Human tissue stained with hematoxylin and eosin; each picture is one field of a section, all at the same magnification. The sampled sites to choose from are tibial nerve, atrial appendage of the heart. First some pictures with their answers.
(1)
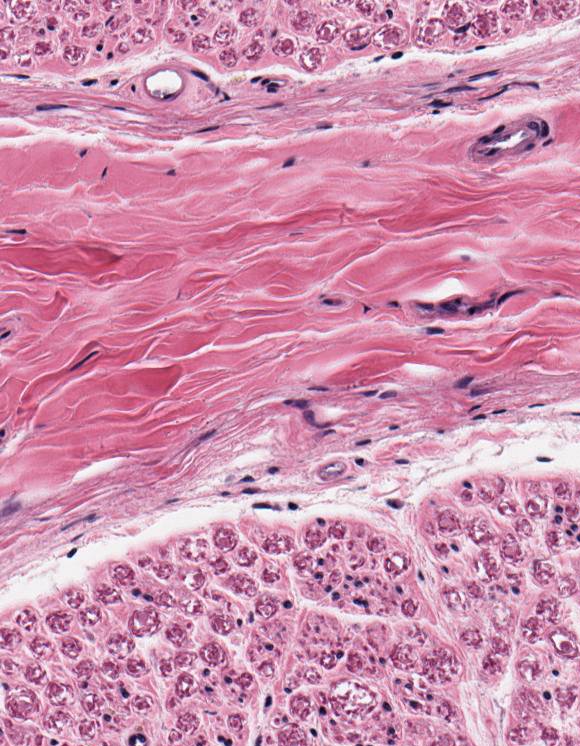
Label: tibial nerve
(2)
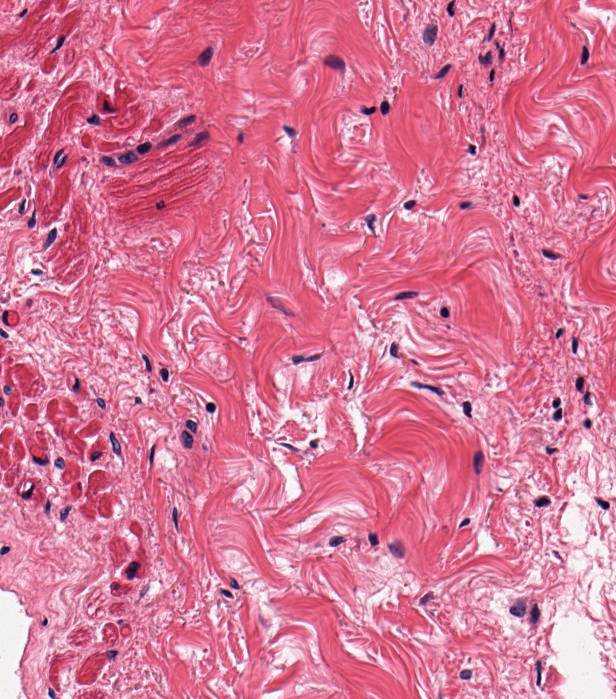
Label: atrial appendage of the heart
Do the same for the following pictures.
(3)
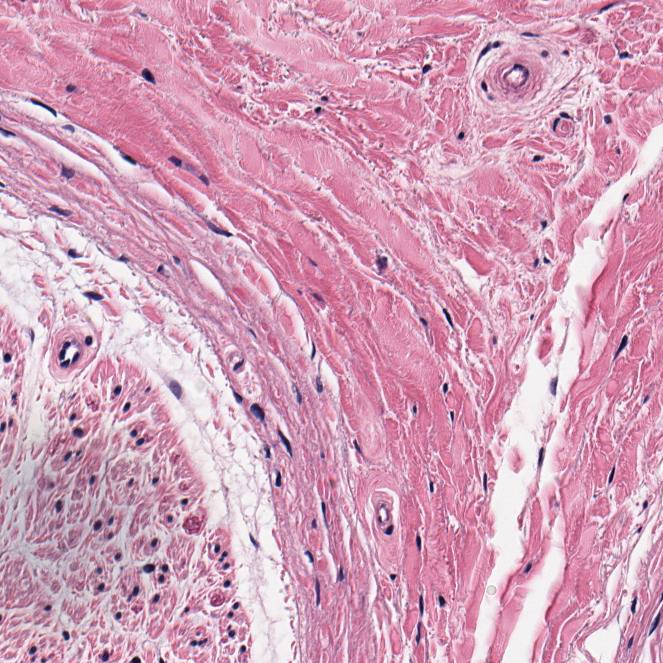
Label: tibial nerve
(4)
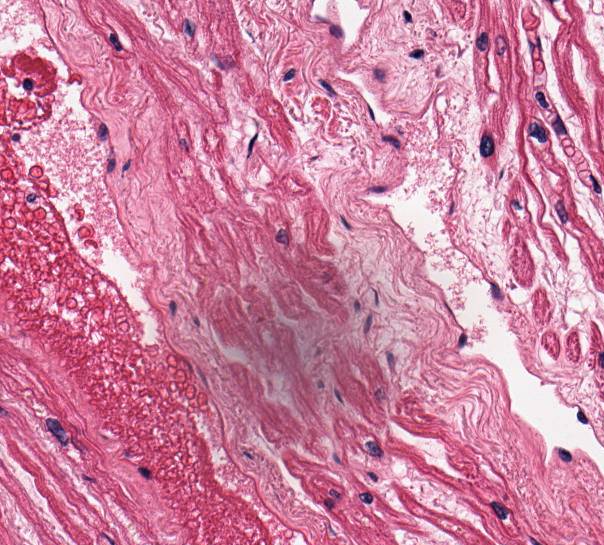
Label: atrial appendage of the heart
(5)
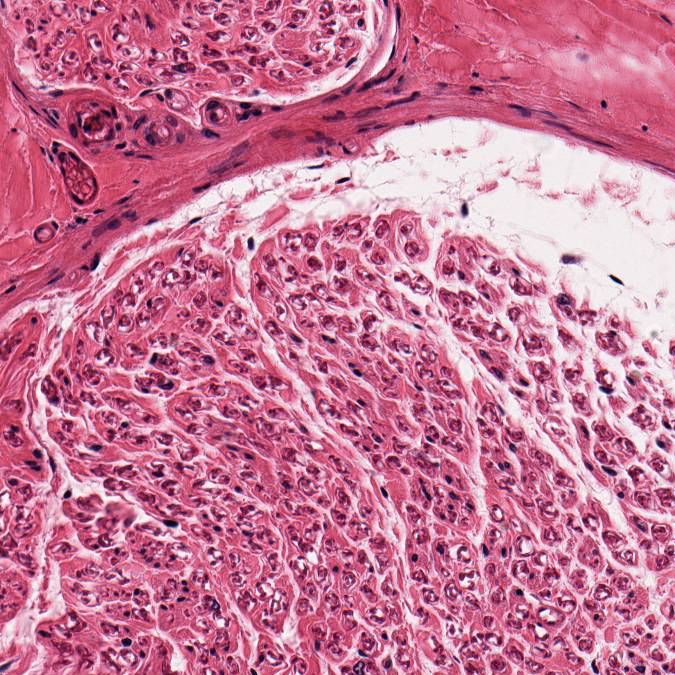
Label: tibial nerve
